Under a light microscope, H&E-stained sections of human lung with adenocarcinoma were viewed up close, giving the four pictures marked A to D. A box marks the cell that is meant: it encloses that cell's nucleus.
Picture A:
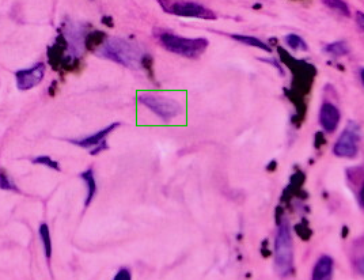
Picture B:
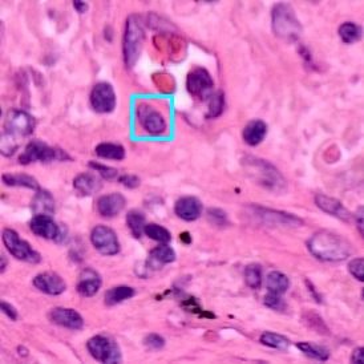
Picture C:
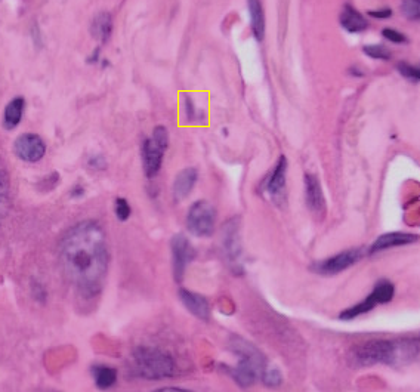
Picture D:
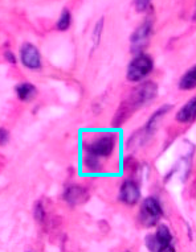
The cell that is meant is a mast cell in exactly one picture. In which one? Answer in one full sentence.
The cell in picture B is the mast cell.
